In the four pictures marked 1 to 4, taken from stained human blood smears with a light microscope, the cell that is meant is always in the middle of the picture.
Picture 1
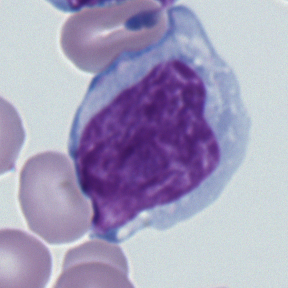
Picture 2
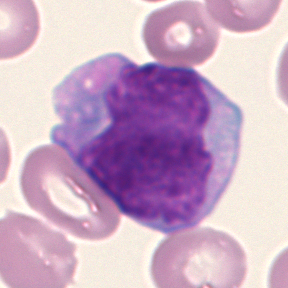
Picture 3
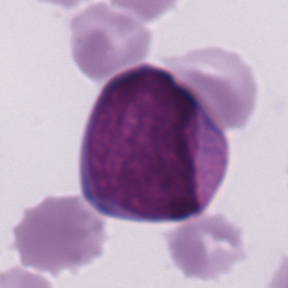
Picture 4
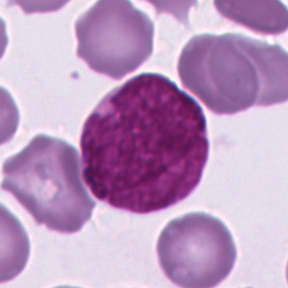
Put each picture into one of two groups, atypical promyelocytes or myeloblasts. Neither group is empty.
1: myeloblast
2: atypical promyelocyte
3: myeloblast
4: myeloblast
